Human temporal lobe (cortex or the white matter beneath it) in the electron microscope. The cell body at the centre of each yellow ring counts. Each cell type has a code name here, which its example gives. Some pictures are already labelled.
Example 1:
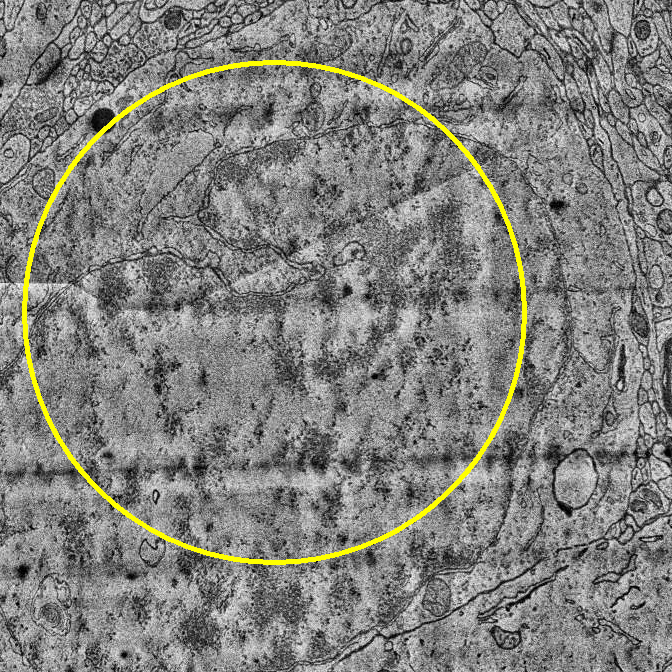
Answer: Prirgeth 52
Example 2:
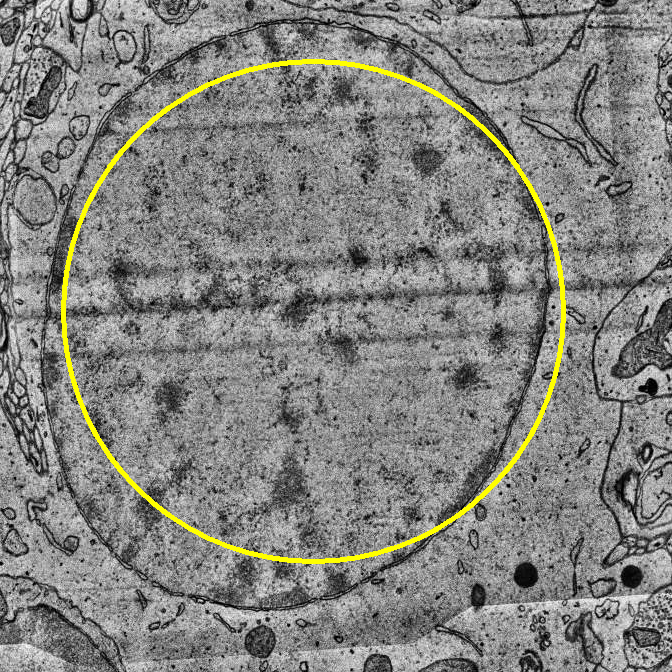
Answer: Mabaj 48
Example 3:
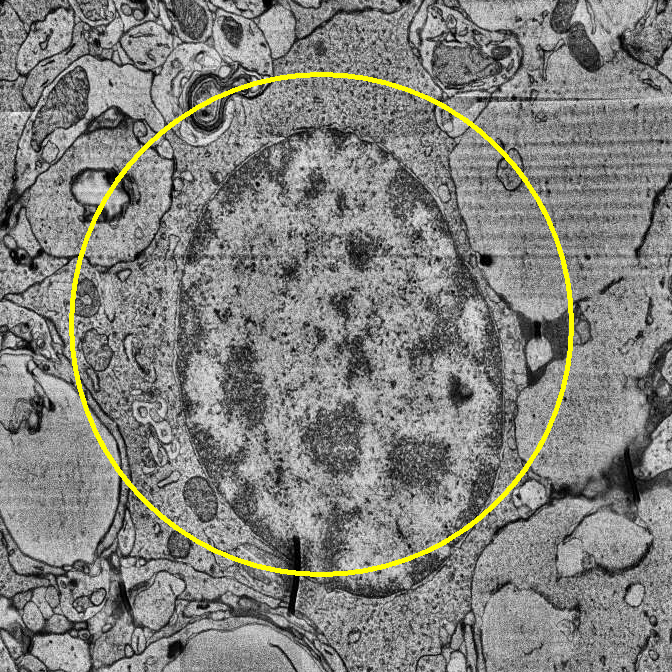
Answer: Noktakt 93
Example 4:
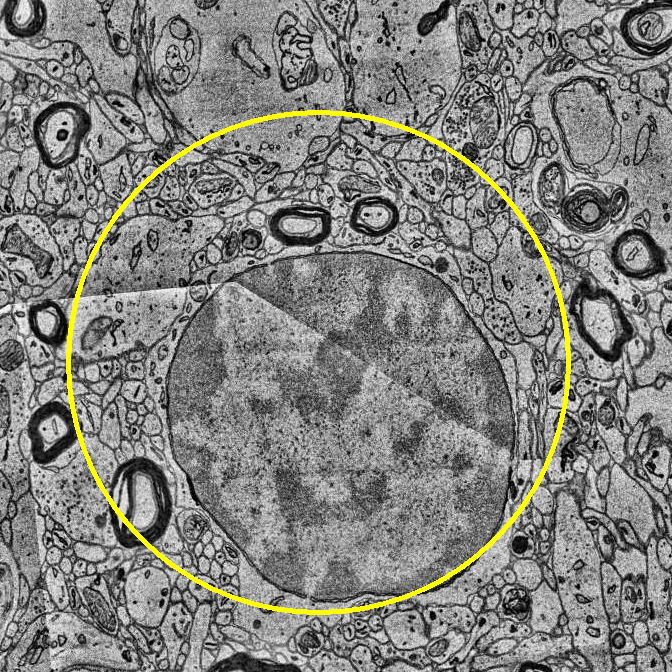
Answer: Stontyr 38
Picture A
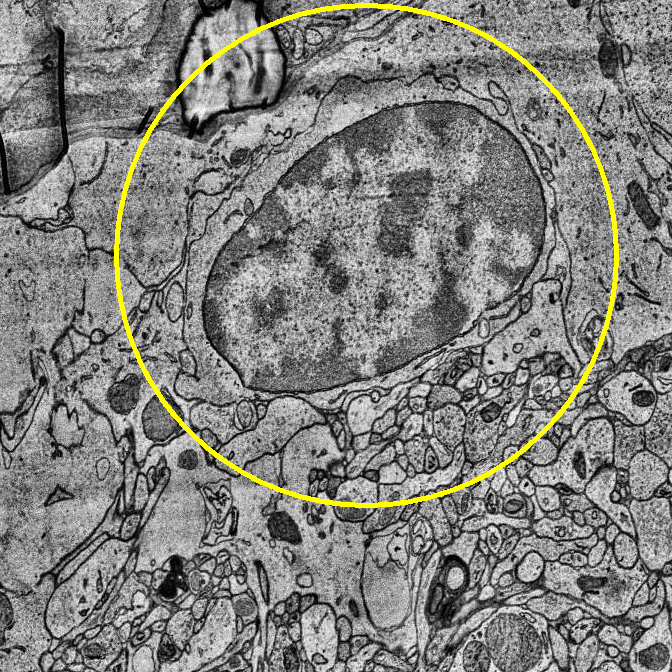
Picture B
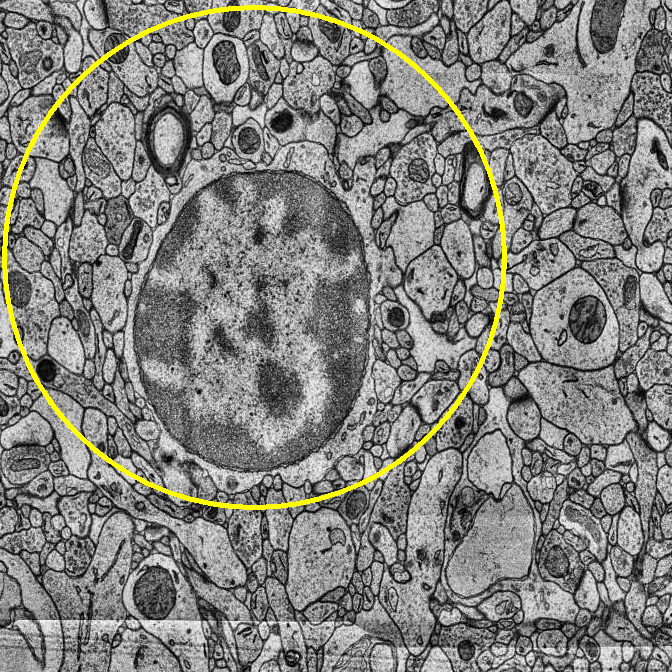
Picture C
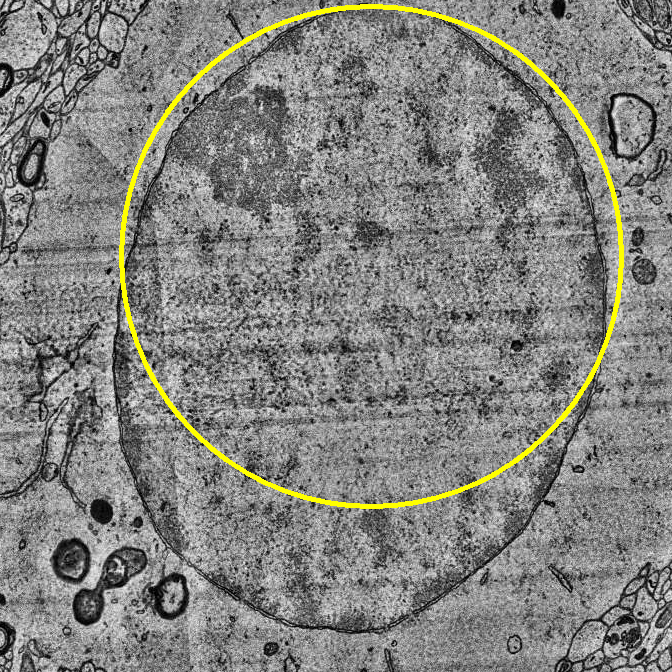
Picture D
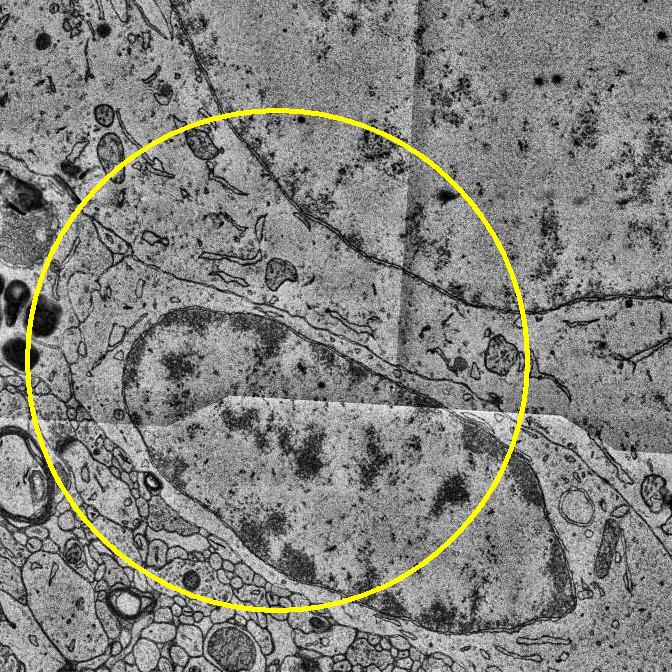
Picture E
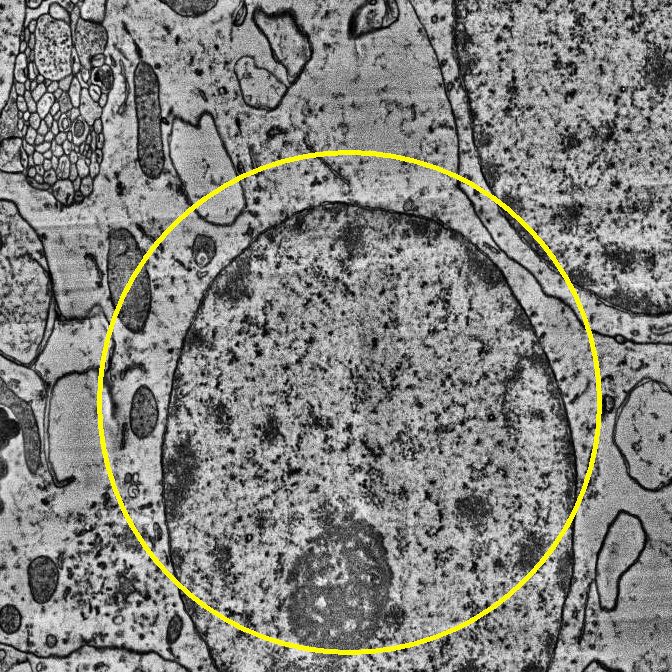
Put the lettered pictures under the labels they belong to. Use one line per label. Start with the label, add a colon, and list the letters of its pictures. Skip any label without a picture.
Mabaj 48: C, E
Stontyr 38: A, B, D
